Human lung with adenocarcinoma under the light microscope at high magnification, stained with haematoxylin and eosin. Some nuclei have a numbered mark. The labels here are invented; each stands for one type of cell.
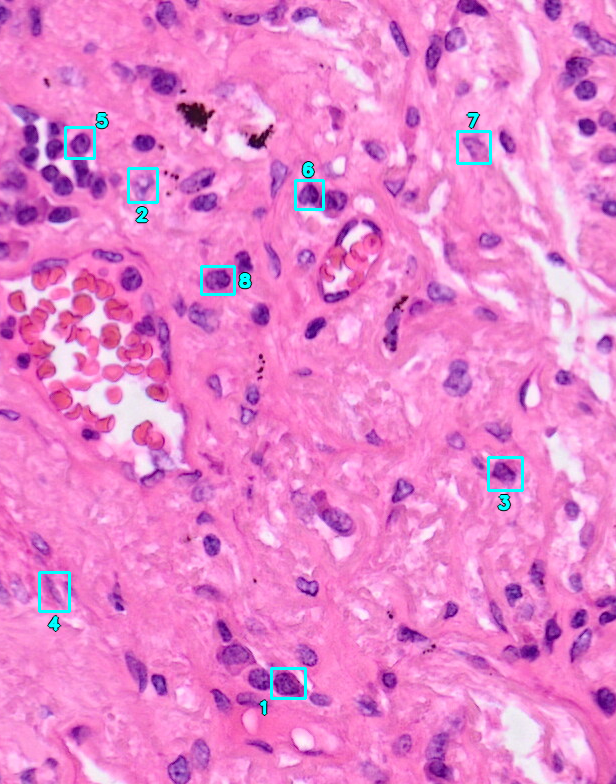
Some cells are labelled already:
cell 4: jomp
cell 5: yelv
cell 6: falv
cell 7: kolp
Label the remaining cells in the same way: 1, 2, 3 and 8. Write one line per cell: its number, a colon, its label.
1: falv
2: kolp
3: falv
8: falv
